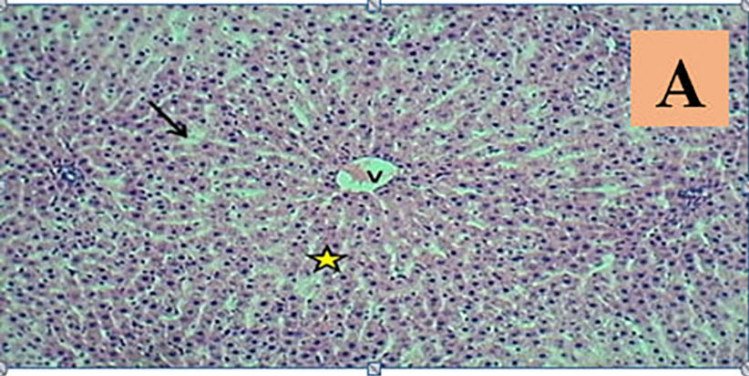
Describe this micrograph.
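Liver tissue in which rows of polygonal pink hepatocytes with dark round nuclei radiate from a central vessel near the middle. Narrow pale channels run between the rows, the sinusoids. The cell rows are evenly arranged and the cells look uniform, with no pale swollen cells, as in a normal hepatic lobule around its central vein.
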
